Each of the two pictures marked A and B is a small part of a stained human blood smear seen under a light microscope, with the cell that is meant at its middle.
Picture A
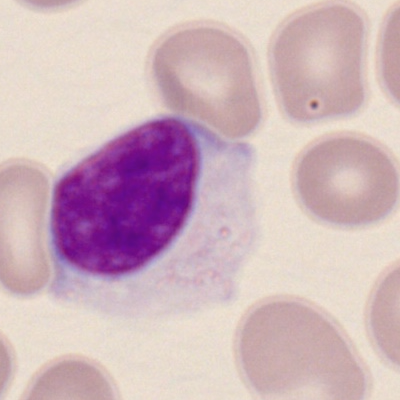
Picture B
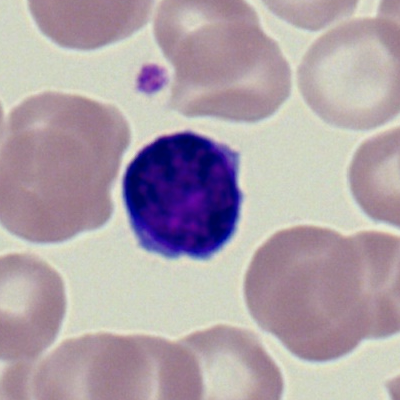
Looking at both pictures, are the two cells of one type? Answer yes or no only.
yes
